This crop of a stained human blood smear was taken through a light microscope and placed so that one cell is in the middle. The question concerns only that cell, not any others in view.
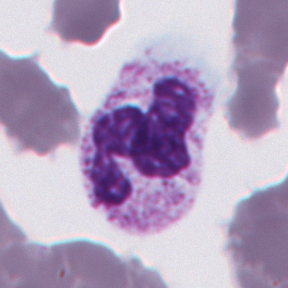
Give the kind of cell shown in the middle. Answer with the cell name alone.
segmented neutrophil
